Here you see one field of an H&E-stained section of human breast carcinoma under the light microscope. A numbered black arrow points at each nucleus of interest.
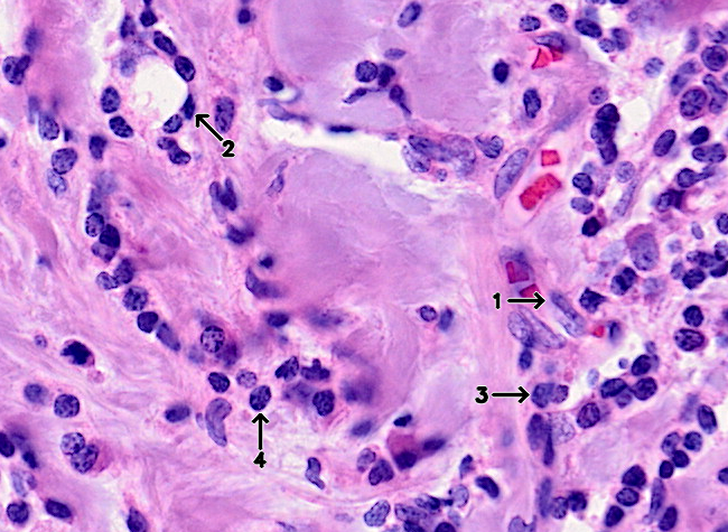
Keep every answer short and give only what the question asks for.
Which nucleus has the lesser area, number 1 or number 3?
1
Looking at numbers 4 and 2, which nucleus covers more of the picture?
4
